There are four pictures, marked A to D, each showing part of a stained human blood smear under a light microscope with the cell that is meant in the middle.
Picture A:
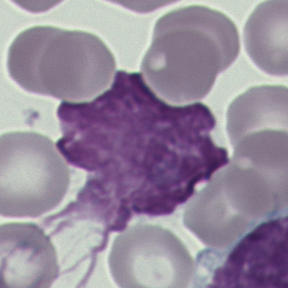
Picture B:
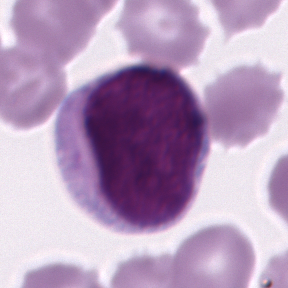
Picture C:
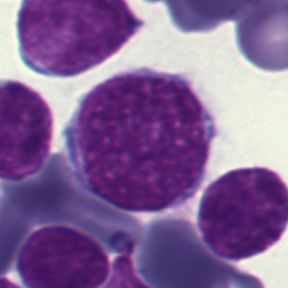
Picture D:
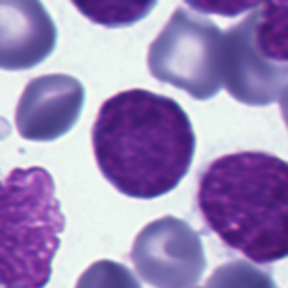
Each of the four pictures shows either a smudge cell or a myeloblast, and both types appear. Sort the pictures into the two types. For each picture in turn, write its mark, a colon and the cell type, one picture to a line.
A: smudge cell
B: myeloblast
C: myeloblast
D: myeloblast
